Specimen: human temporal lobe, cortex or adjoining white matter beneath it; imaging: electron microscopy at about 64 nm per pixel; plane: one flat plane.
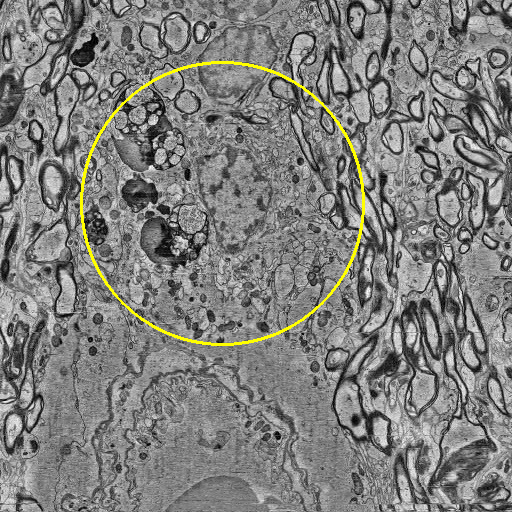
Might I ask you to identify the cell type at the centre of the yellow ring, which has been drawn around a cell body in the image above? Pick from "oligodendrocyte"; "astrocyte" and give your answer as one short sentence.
The centre of the ring falls on an astrocyte.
